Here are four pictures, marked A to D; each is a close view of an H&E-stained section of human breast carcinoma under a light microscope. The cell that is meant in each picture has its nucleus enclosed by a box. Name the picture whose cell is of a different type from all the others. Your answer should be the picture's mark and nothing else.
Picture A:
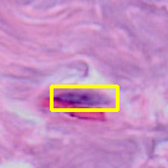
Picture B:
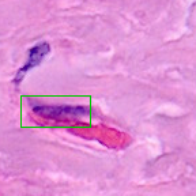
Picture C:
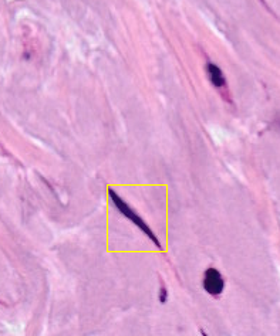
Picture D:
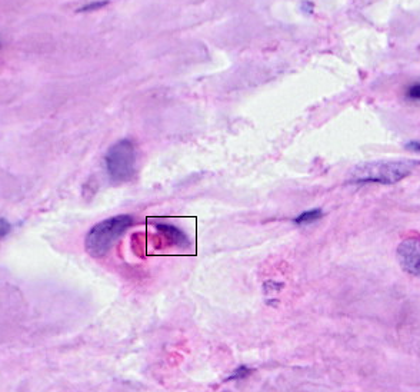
C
